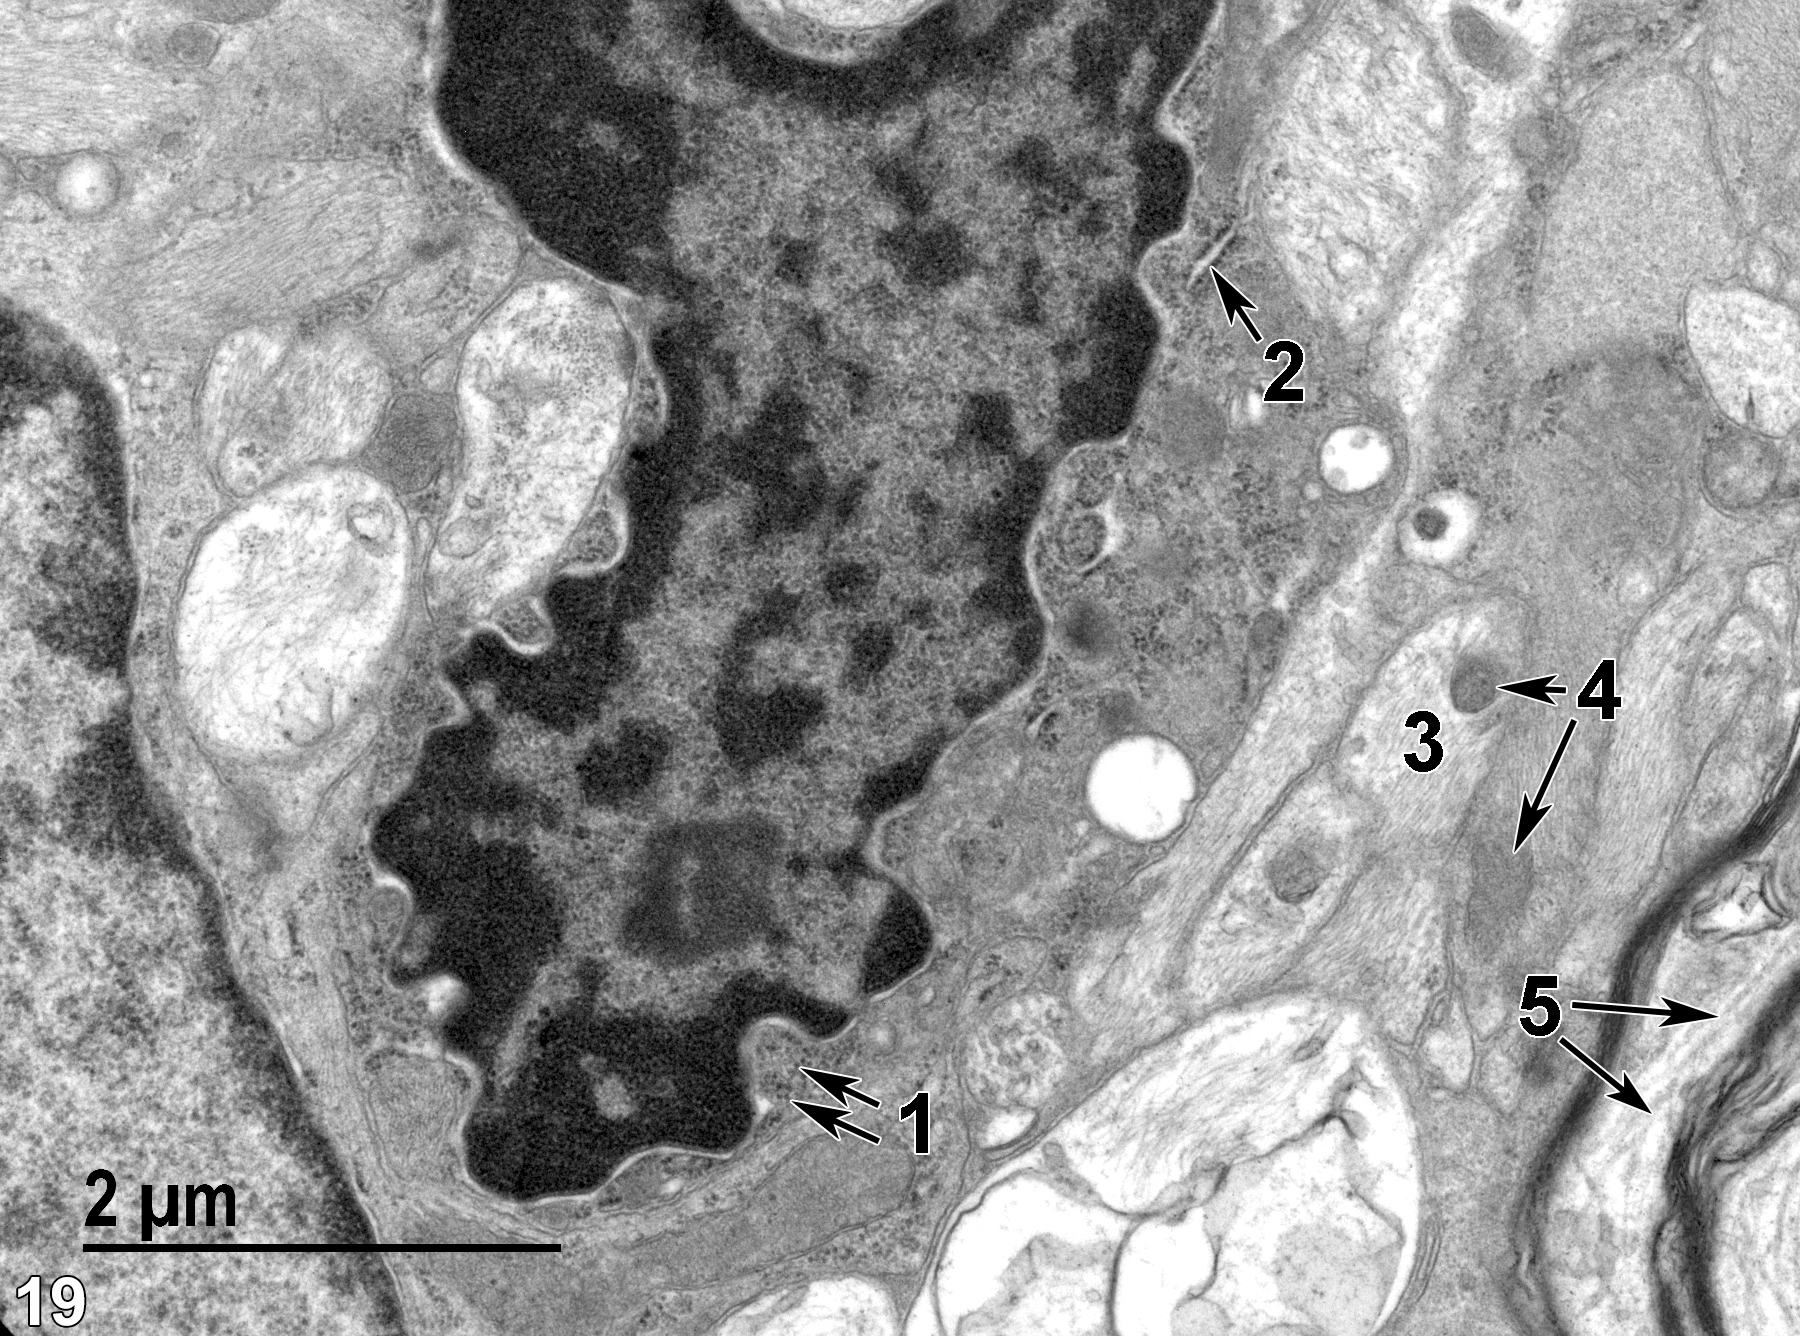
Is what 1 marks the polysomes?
Yes.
